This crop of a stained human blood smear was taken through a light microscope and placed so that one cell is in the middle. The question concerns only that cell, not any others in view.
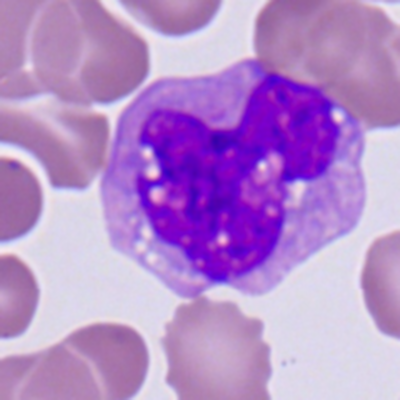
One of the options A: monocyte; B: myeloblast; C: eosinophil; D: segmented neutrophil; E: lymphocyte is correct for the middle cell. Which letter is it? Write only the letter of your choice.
A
